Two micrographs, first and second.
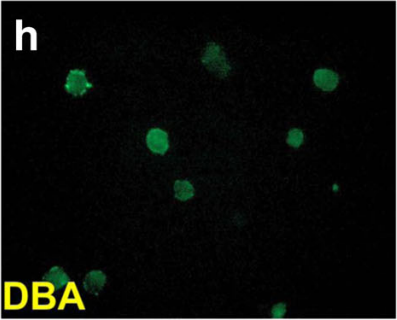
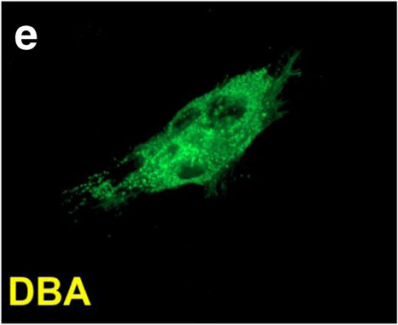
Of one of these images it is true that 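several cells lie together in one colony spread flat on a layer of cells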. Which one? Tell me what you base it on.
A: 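First image: small round green cells lie singly, apart from one another. Second image: one large flattened green area with several nuclear outlines and ragged processes. That points to this answer: the second image.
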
